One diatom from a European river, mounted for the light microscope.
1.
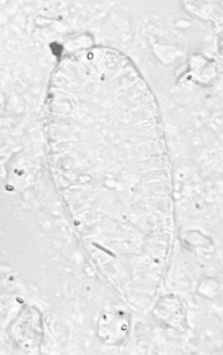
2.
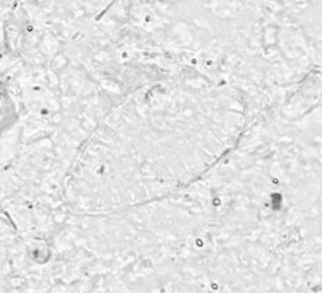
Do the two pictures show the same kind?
Yes, both are Surirella.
